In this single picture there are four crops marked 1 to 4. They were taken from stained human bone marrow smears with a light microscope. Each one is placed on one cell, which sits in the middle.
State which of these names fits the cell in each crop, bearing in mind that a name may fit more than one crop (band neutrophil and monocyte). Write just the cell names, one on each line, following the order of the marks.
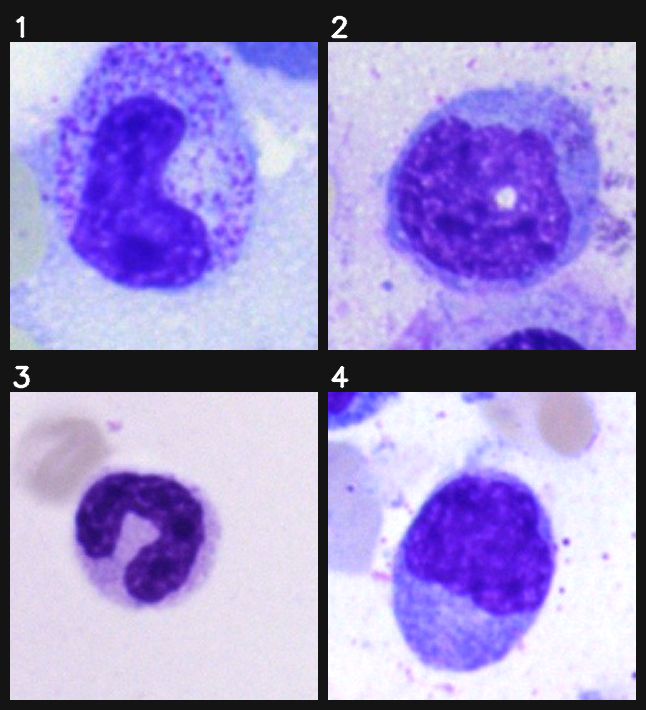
band neutrophil
monocyte
band neutrophil
monocyte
